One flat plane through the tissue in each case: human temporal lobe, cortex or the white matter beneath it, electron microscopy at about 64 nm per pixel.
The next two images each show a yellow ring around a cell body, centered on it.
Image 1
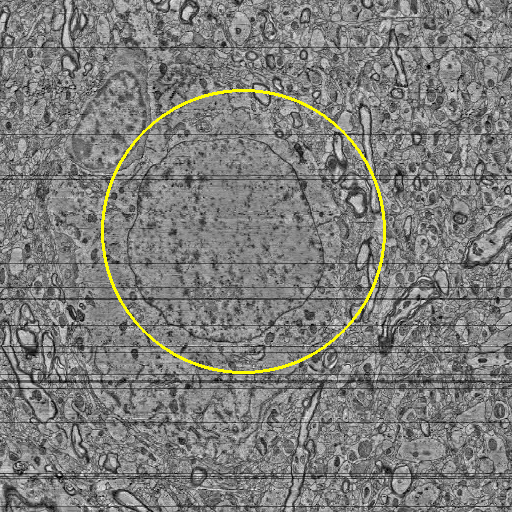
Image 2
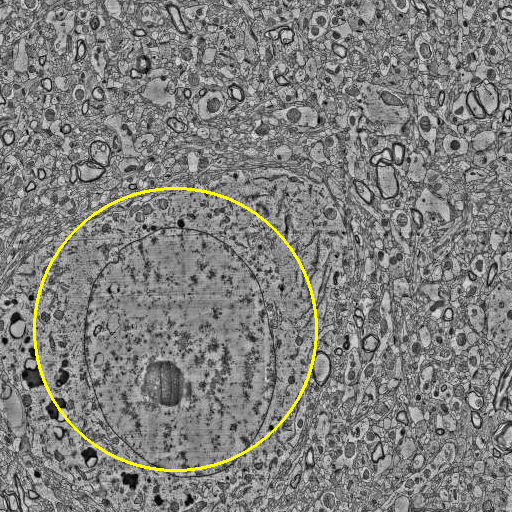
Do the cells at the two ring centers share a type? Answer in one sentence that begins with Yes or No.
Yes, across the two images the cells at the ring centers share one type.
